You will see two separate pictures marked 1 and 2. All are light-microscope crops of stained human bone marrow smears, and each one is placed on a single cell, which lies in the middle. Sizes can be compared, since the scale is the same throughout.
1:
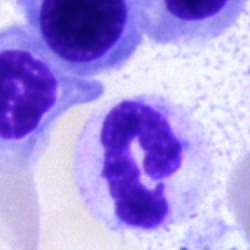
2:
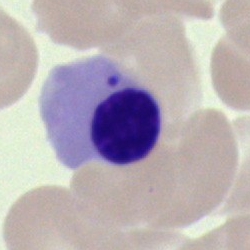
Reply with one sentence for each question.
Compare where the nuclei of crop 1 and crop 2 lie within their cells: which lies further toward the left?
The nucleus in crop 1 lies further toward the left of its cell.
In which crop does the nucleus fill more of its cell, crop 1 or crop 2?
Of the two, the nucleus in crop 1 makes up the greater part of its cell.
